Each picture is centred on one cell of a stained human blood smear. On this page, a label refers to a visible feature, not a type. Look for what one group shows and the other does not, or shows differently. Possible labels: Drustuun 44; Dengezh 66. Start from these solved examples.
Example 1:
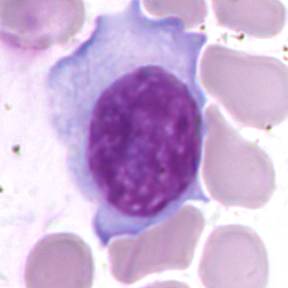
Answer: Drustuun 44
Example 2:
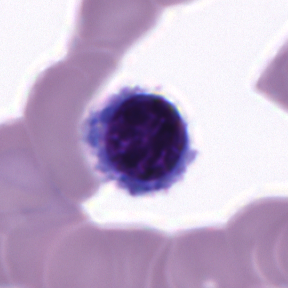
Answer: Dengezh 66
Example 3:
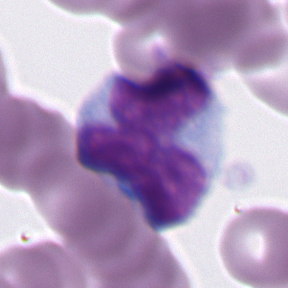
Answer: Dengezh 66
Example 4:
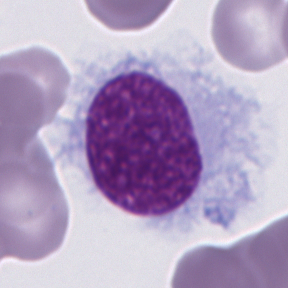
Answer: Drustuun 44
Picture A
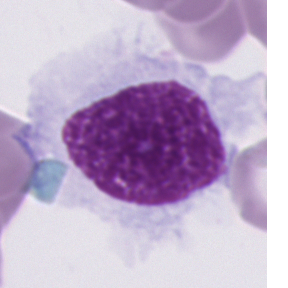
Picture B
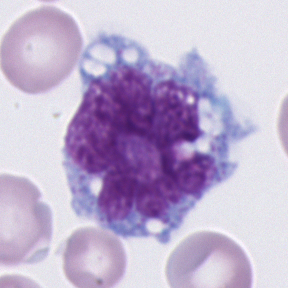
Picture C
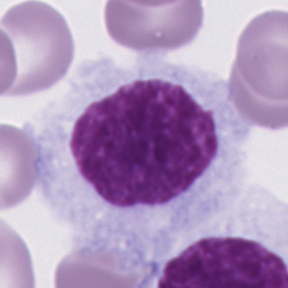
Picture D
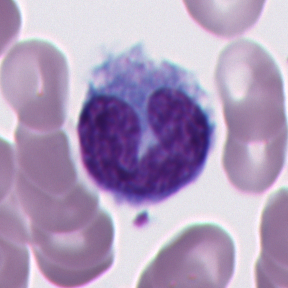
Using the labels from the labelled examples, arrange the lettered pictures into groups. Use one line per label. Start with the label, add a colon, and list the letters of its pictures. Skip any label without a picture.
Drustuun 44: A, C
Dengezh 66: B, D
